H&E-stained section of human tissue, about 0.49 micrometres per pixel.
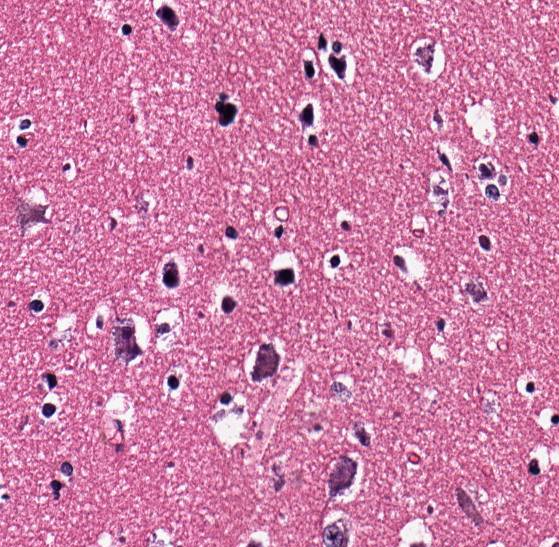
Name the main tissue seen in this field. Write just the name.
cerebral cortex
